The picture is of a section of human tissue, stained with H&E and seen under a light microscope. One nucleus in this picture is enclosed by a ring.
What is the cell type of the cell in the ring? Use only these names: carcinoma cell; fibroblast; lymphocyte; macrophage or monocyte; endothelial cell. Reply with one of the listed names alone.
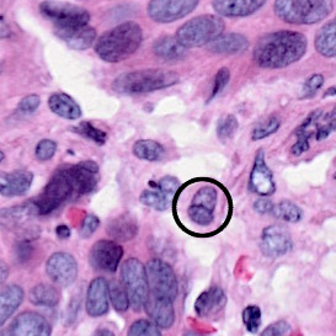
macrophage or monocyte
